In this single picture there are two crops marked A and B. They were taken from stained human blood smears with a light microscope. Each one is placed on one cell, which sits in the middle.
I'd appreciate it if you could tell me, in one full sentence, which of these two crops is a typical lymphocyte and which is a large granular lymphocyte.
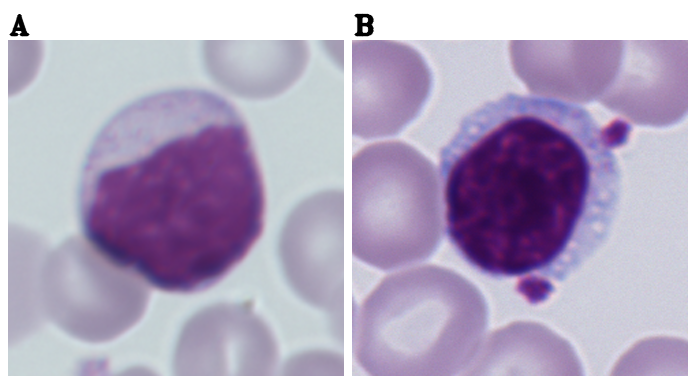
Crop A has been identified as a large granular lymphocyte, and crop B has been identified as a typical lymphocyte.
